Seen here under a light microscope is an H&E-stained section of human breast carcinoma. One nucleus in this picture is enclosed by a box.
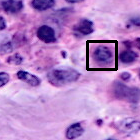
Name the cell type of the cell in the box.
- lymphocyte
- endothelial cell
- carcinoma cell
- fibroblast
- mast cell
mast cell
